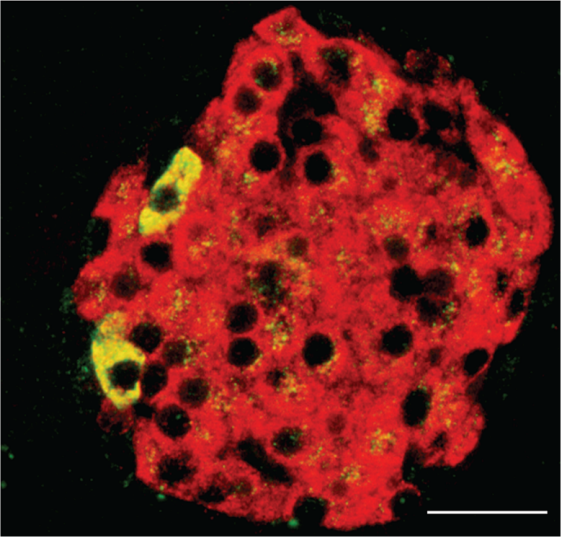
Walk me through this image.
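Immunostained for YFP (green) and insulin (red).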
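A pancreatic islet appears as a rounded, compact cluster of many cells whose cytoplasm is filled with red stain, each with a dark, round, unstained nucleus. At the left edge of the islet two cells are bright yellow, each with a dark nucleus, lying among the red cells, while fine yellow-green dots are scattered through the cytoplasm of many other cells. The tissue around the islet is dark and unstained.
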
